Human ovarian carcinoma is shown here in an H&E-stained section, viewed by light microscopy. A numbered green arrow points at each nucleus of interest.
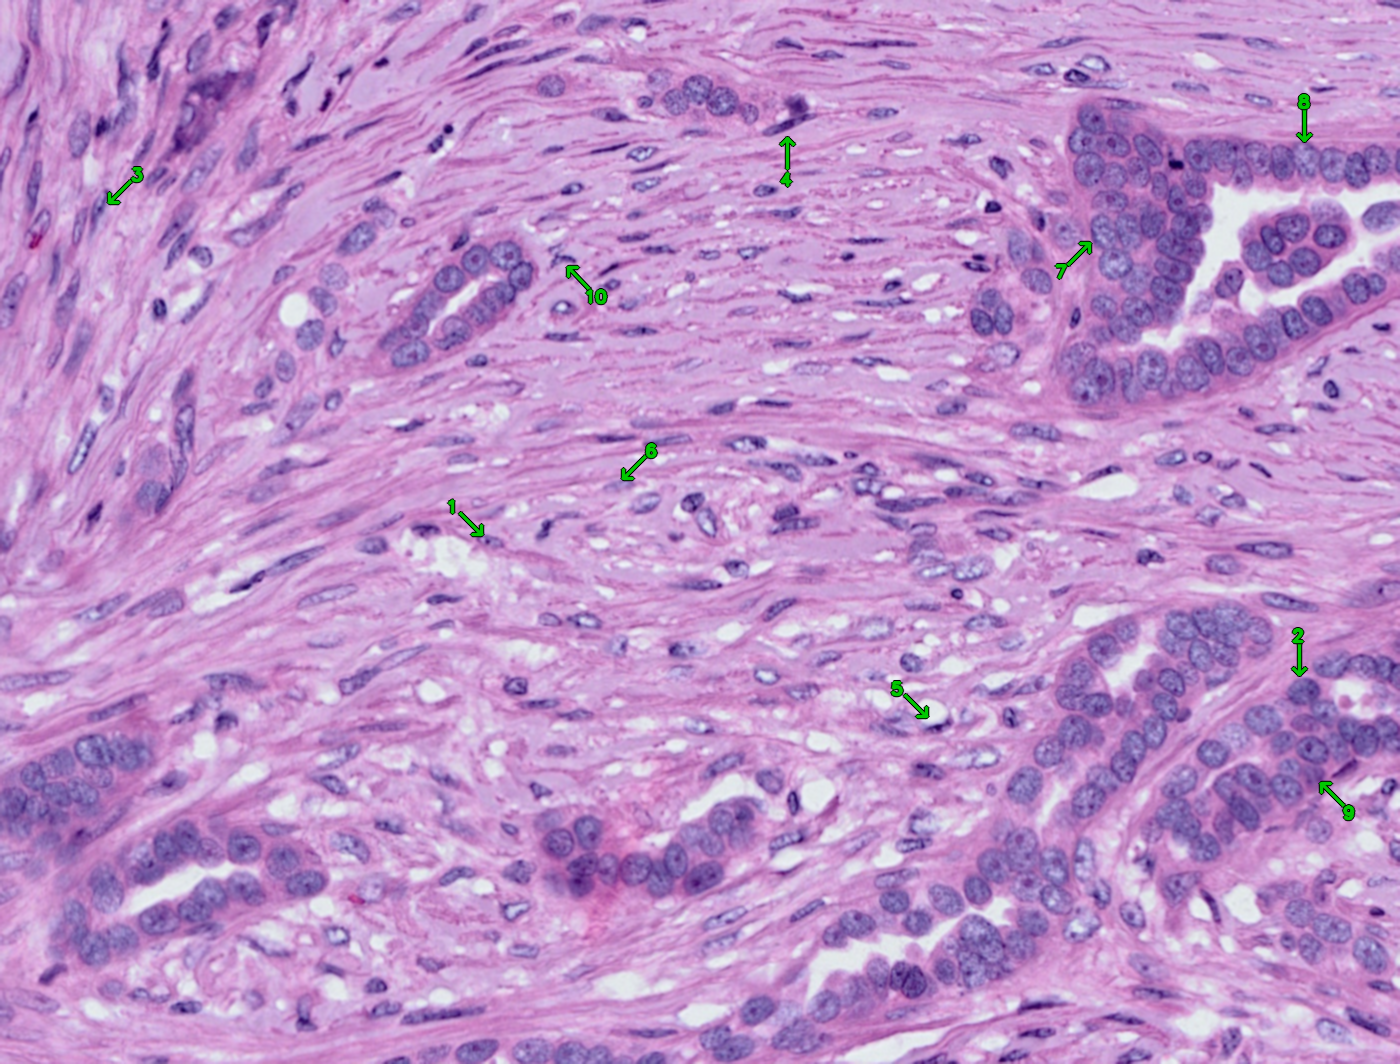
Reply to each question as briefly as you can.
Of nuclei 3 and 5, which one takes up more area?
3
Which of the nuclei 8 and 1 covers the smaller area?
1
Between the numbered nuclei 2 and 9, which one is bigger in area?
2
